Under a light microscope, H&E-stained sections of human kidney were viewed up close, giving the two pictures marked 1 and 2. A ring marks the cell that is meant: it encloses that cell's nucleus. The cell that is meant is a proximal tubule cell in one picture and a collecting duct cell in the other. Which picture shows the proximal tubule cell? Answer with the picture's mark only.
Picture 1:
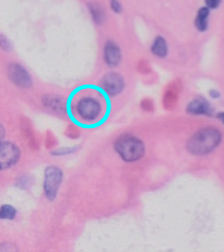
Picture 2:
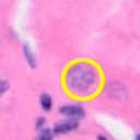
2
